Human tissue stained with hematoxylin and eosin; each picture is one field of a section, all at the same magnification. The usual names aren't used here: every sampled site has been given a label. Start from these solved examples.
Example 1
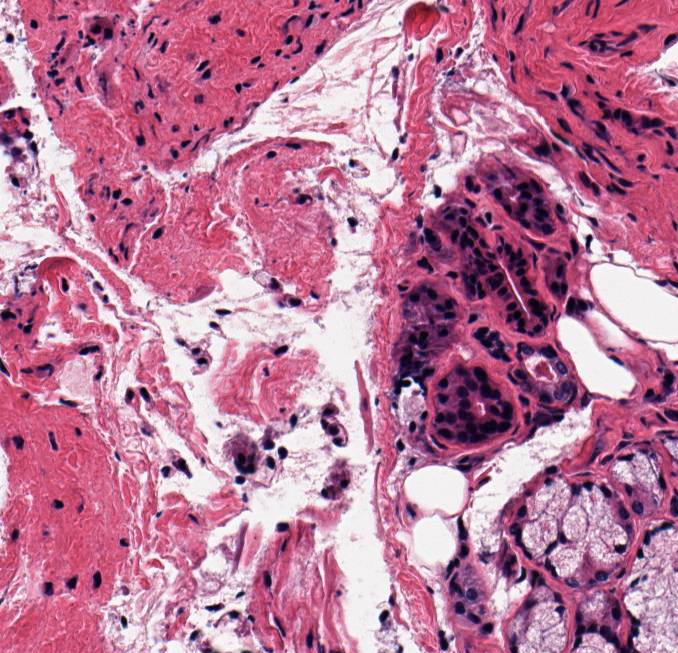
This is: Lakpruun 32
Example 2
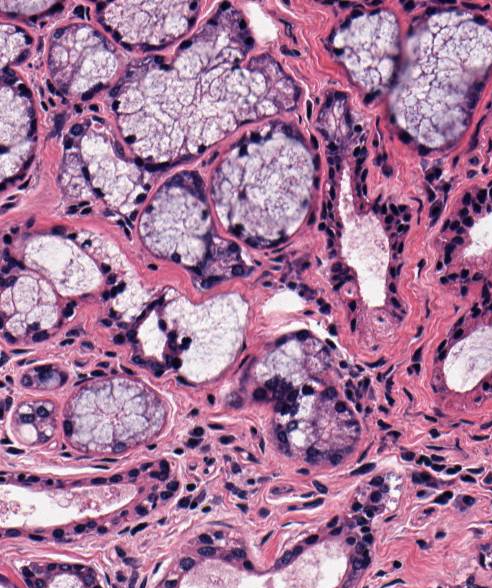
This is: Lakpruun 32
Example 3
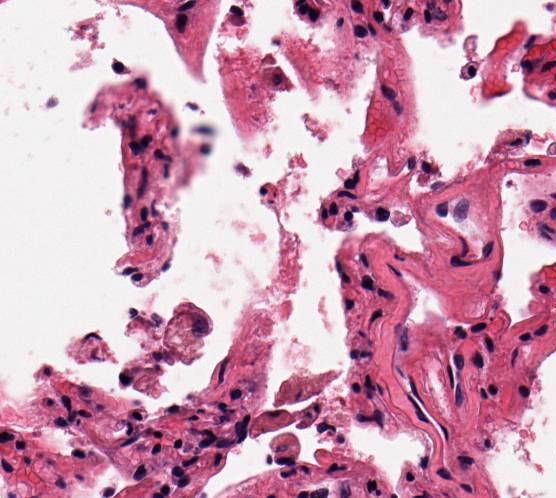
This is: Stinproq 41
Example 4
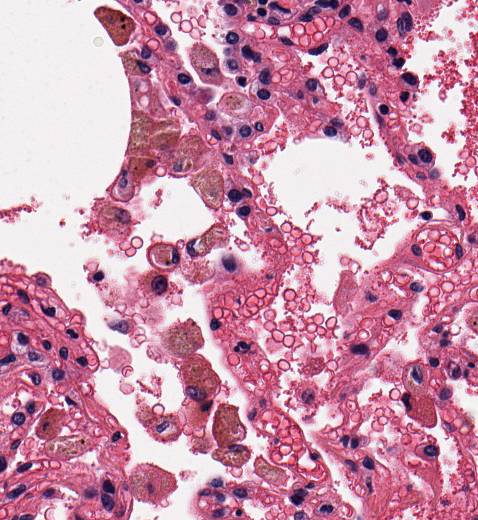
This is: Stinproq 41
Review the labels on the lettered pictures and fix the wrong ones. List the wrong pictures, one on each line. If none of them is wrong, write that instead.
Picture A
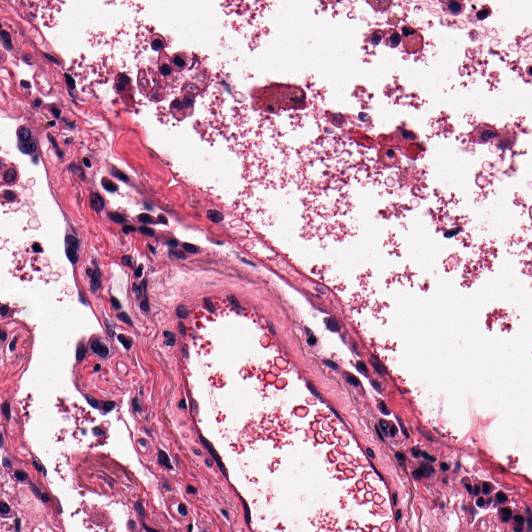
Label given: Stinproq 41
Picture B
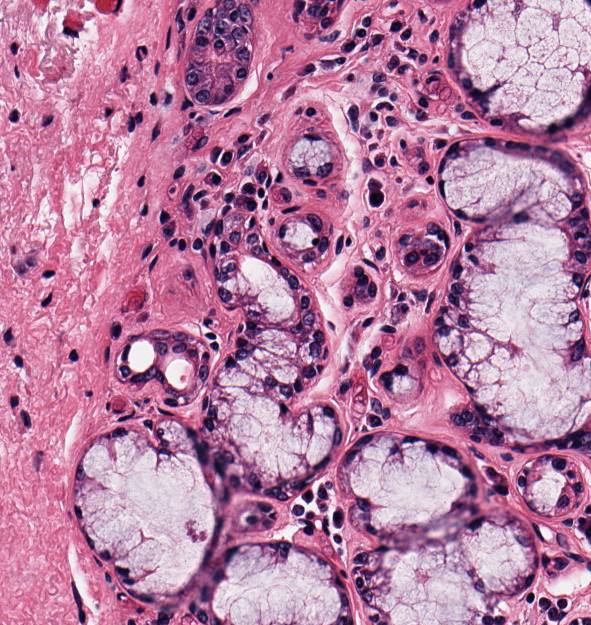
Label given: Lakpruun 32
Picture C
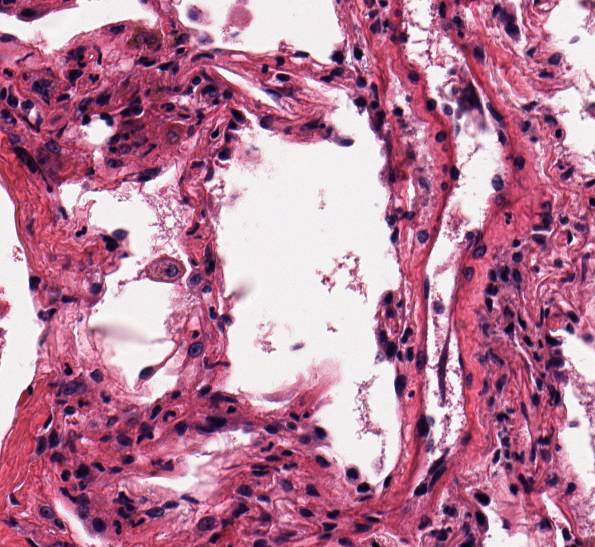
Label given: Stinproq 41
No label is wrong.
